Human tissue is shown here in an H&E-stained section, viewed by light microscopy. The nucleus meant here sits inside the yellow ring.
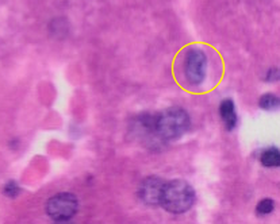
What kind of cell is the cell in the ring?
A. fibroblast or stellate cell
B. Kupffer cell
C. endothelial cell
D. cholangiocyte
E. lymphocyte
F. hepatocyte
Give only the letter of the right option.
A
